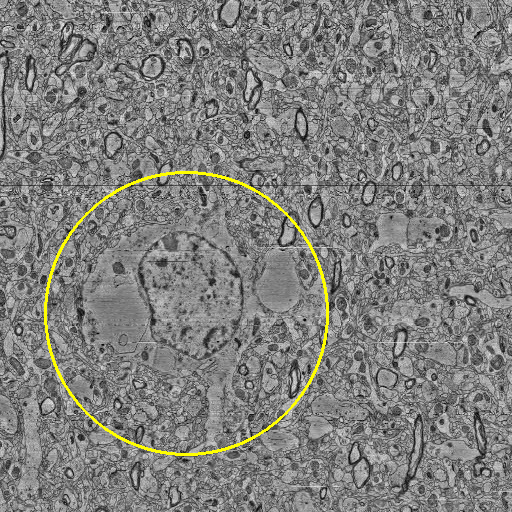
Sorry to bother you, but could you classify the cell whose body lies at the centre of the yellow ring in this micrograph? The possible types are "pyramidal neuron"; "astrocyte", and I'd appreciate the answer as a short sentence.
The ringed cell body is that of an astrocyte.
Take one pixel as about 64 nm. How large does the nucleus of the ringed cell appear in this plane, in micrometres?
The ringed cell's nucleus is about 9 micrometres long and 6 micrometres wide in this plane.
